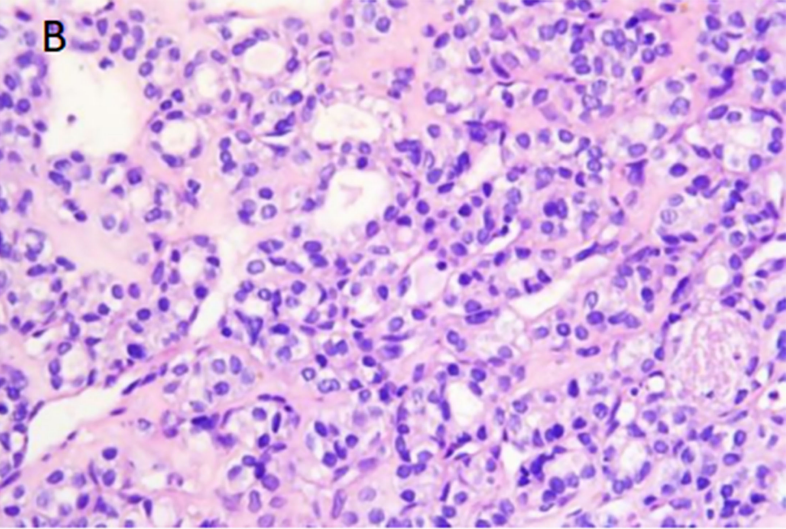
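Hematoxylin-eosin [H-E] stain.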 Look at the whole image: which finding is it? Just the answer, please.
The tumor cells were dense and crowded.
